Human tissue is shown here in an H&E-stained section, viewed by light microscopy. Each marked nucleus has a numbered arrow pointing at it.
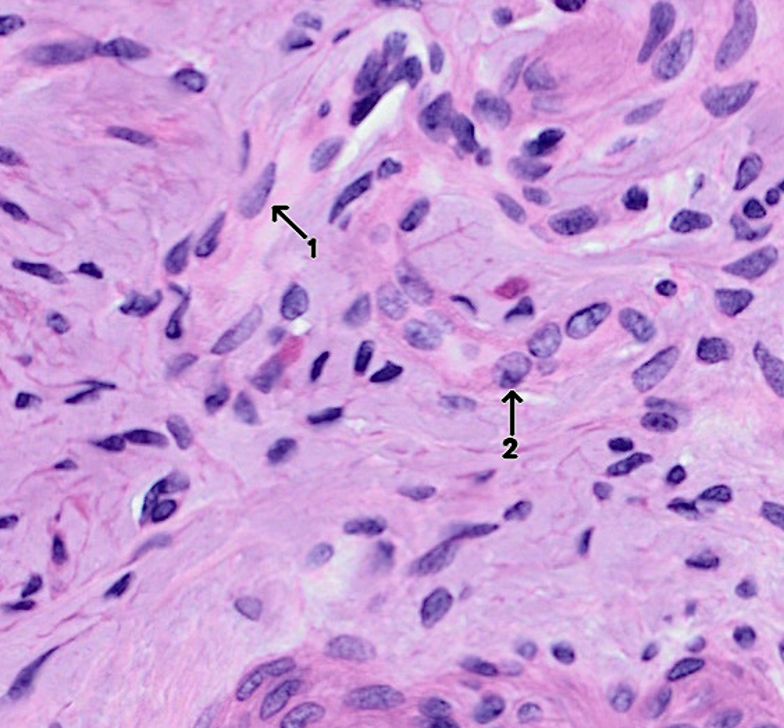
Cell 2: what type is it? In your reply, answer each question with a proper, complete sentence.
In the tissue shown, cell 2 is an endothelial cell.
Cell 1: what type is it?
The cell referred to as 1 is a fibroblast.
